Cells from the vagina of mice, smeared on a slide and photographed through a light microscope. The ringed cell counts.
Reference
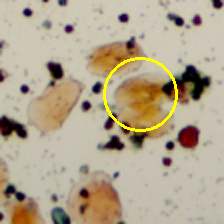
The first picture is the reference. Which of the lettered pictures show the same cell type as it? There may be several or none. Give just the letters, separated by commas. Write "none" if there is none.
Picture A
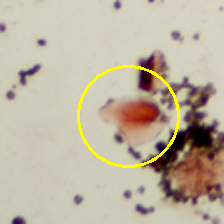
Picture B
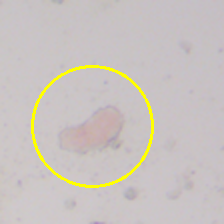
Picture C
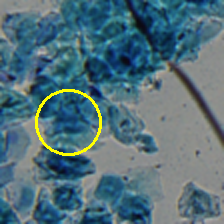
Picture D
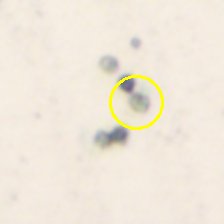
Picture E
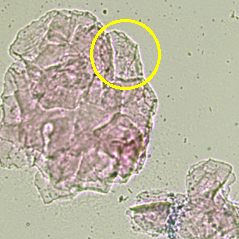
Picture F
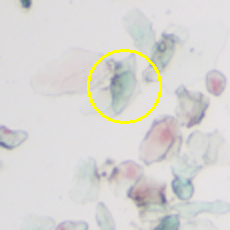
A, B, C, E, F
